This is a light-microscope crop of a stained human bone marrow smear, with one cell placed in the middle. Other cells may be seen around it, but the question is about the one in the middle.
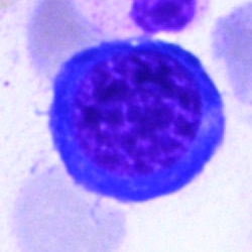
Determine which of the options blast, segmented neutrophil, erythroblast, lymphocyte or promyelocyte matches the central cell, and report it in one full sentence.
The central cell in this smear crop is an erythroblast.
